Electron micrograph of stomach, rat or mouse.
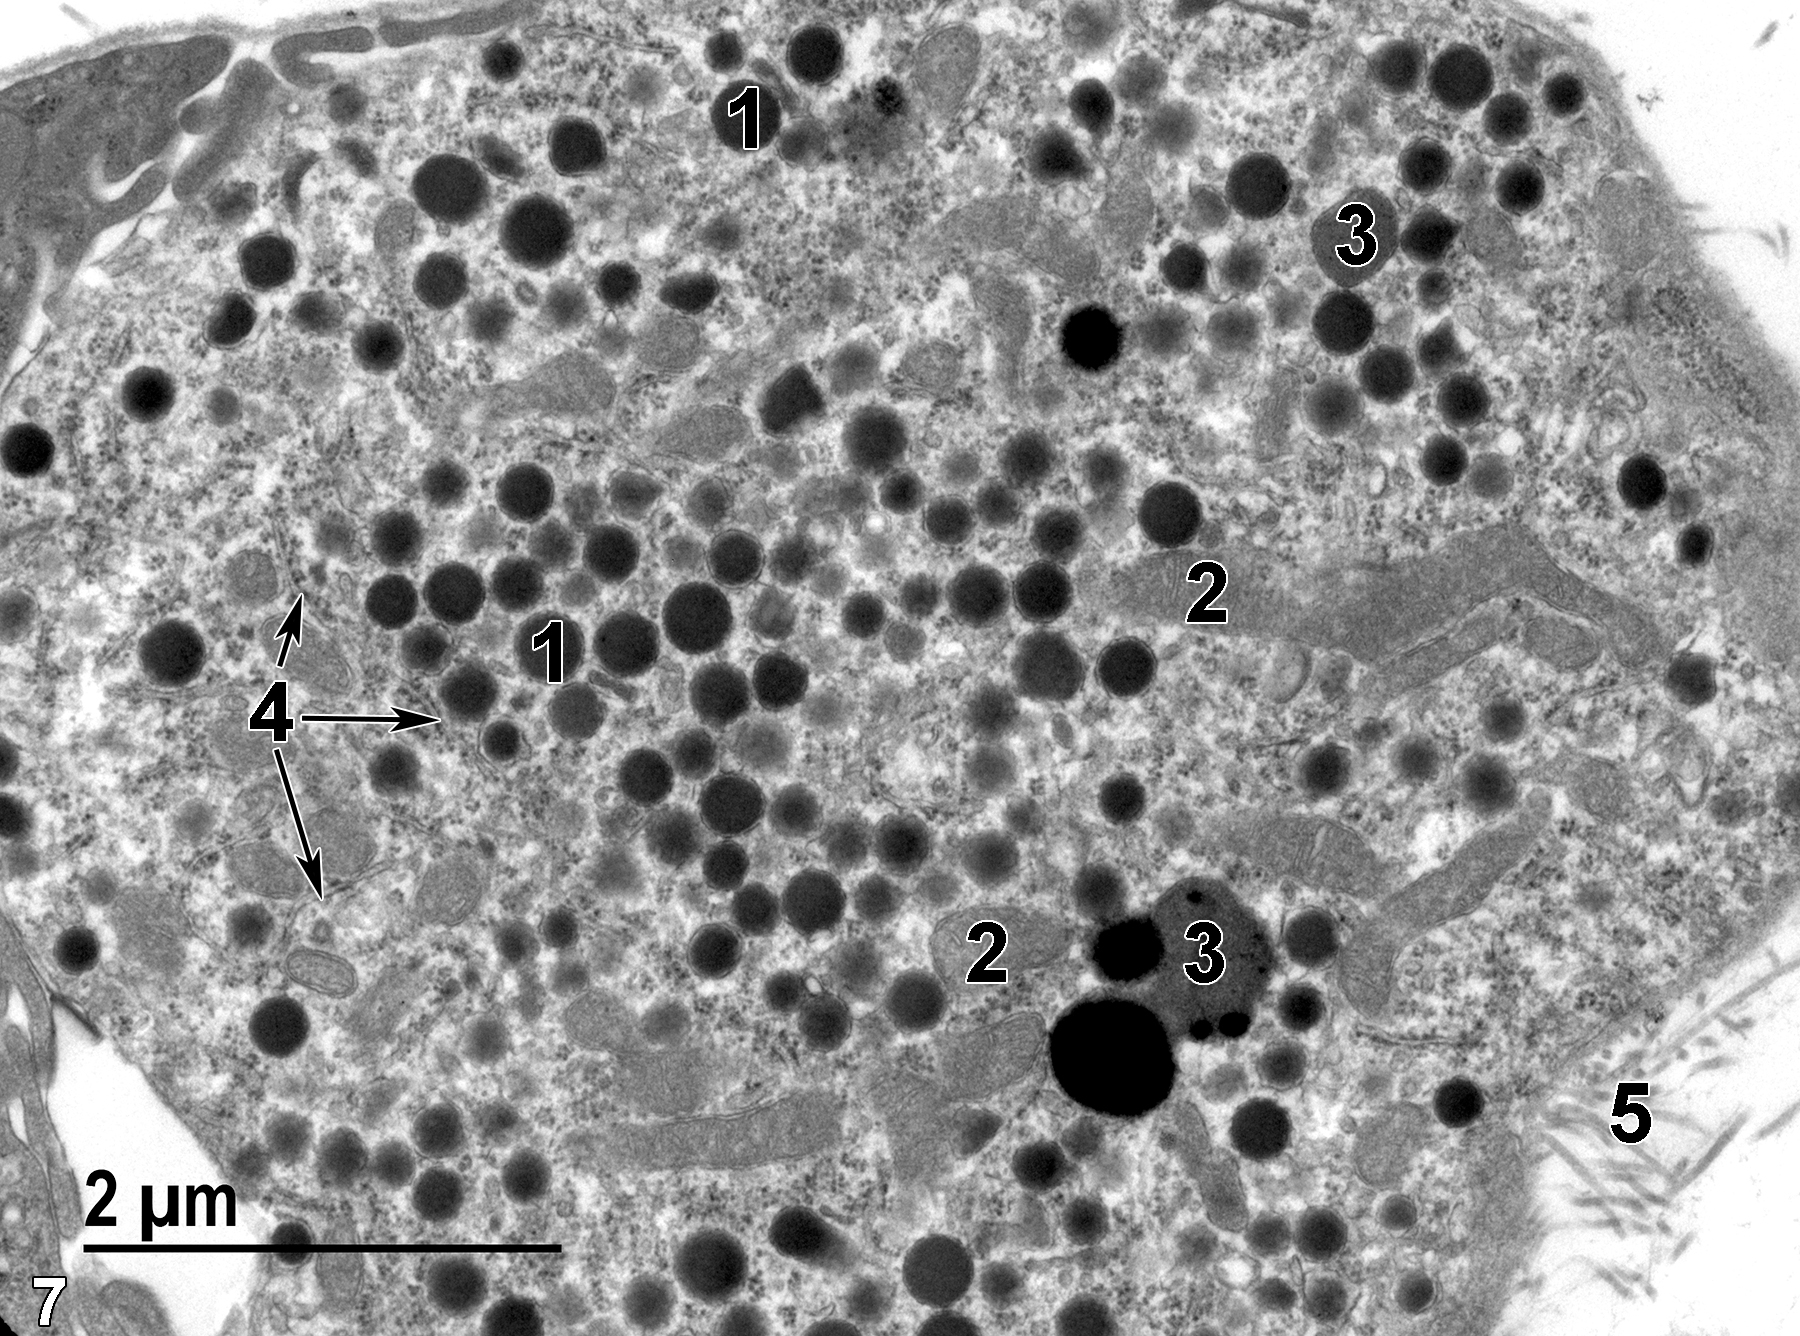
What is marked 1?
1 marks the electron-dense secretory granules.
